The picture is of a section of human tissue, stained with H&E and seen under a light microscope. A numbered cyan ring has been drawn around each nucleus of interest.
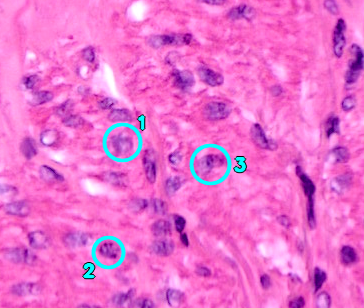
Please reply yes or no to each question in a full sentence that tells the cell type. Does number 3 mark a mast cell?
No, the cell that carries number 3 is a smooth muscle cell or pericyte, not a mast cell.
